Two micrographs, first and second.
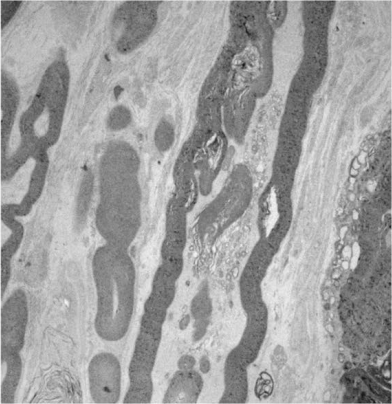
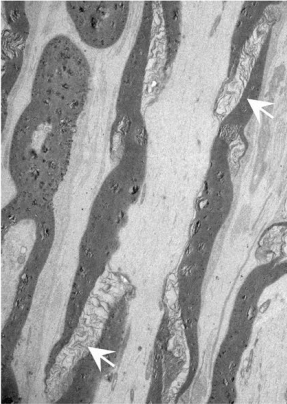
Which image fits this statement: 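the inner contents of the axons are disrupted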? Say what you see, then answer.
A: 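The first image. First image: axons hold irregular dark clumps and fragmented material.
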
